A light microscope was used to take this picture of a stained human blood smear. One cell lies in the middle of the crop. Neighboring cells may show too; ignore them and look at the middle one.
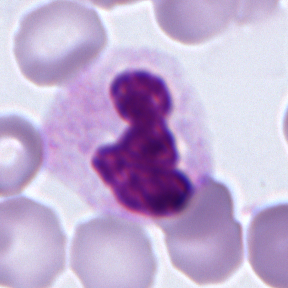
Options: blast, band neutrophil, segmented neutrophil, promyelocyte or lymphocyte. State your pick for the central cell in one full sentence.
As for the central cell, it is a segmented neutrophil.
